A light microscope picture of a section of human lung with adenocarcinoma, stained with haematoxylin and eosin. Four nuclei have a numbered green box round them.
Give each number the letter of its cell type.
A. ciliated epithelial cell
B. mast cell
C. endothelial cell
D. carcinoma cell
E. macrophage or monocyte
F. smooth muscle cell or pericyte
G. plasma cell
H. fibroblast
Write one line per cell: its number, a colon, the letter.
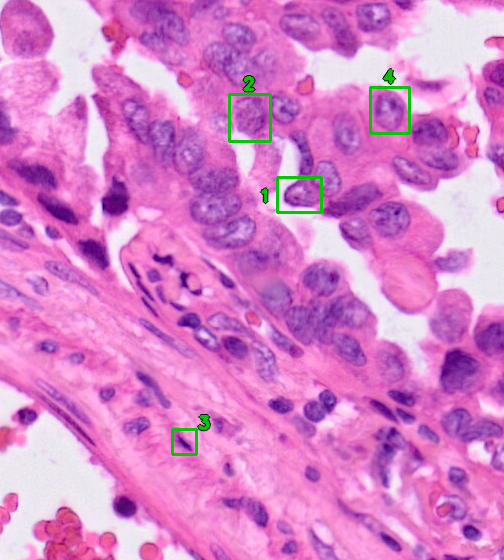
1: D
2: D
3: F
4: D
